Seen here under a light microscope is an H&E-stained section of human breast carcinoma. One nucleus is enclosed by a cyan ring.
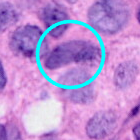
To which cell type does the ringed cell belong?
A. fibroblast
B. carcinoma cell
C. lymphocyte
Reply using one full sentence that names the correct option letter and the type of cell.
Option B correctly identifies the ringed cell as a carcinoma cell.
